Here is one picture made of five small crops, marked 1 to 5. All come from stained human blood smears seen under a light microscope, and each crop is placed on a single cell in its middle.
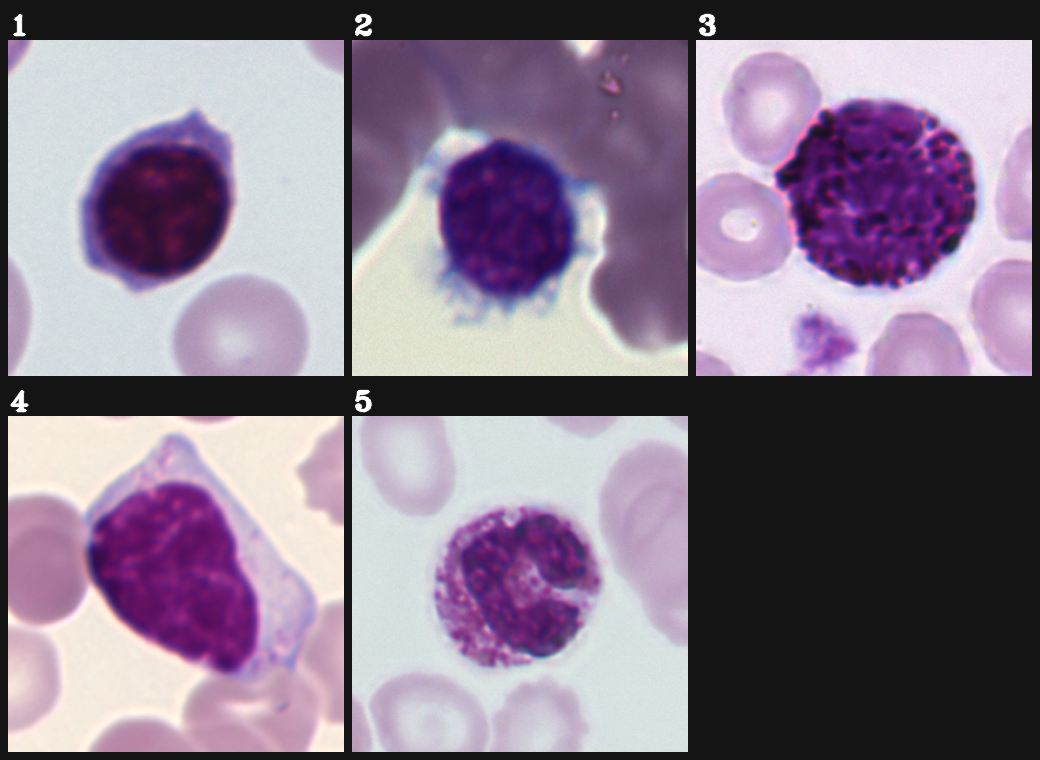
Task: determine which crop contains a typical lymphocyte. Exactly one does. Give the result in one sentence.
Crop 1 is the one in this set that shows a typical lymphocyte.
